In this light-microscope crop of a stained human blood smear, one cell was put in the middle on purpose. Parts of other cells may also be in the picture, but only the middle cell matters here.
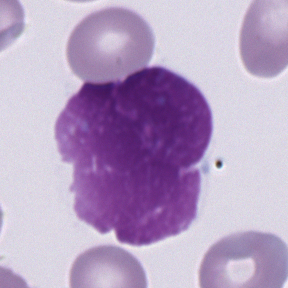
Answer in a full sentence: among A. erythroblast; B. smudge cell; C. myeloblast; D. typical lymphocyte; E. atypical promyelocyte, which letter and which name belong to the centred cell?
Option B is correct in naming the middle cell a smudge cell.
